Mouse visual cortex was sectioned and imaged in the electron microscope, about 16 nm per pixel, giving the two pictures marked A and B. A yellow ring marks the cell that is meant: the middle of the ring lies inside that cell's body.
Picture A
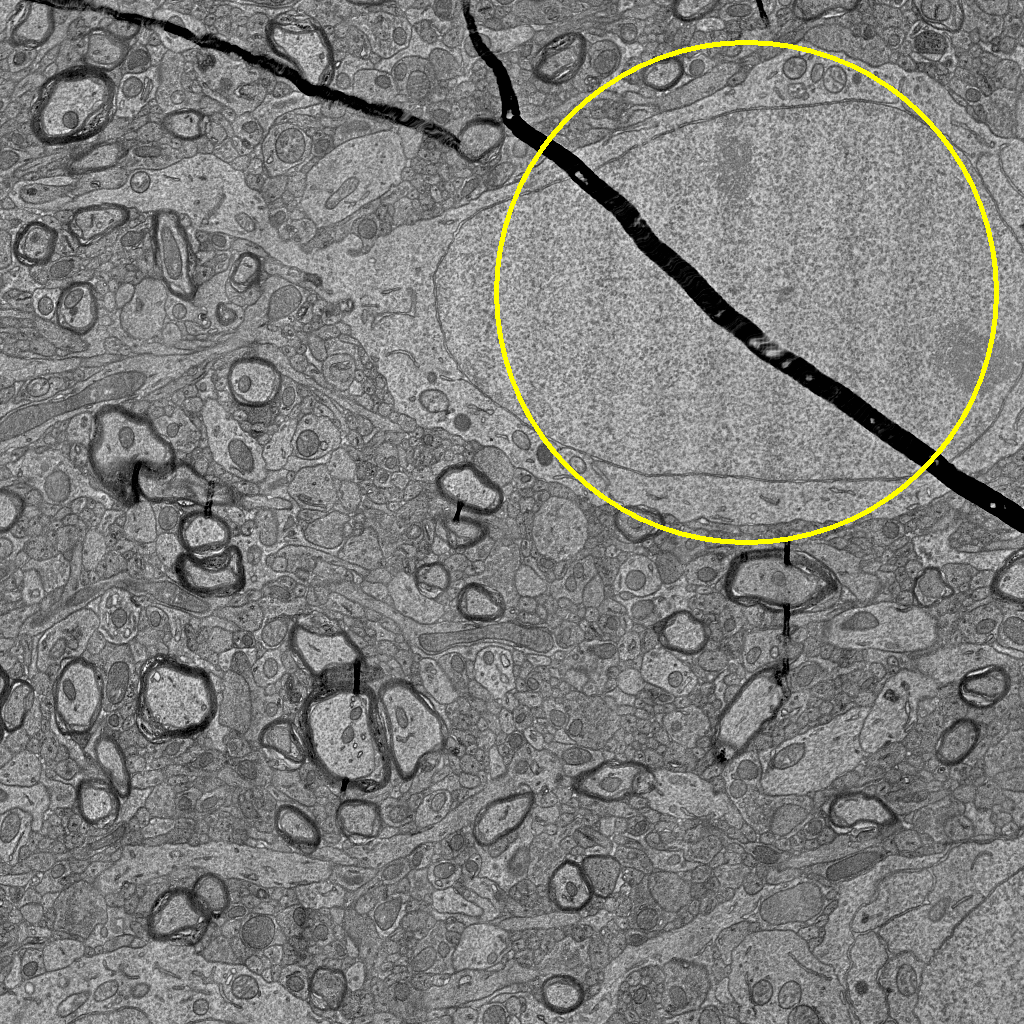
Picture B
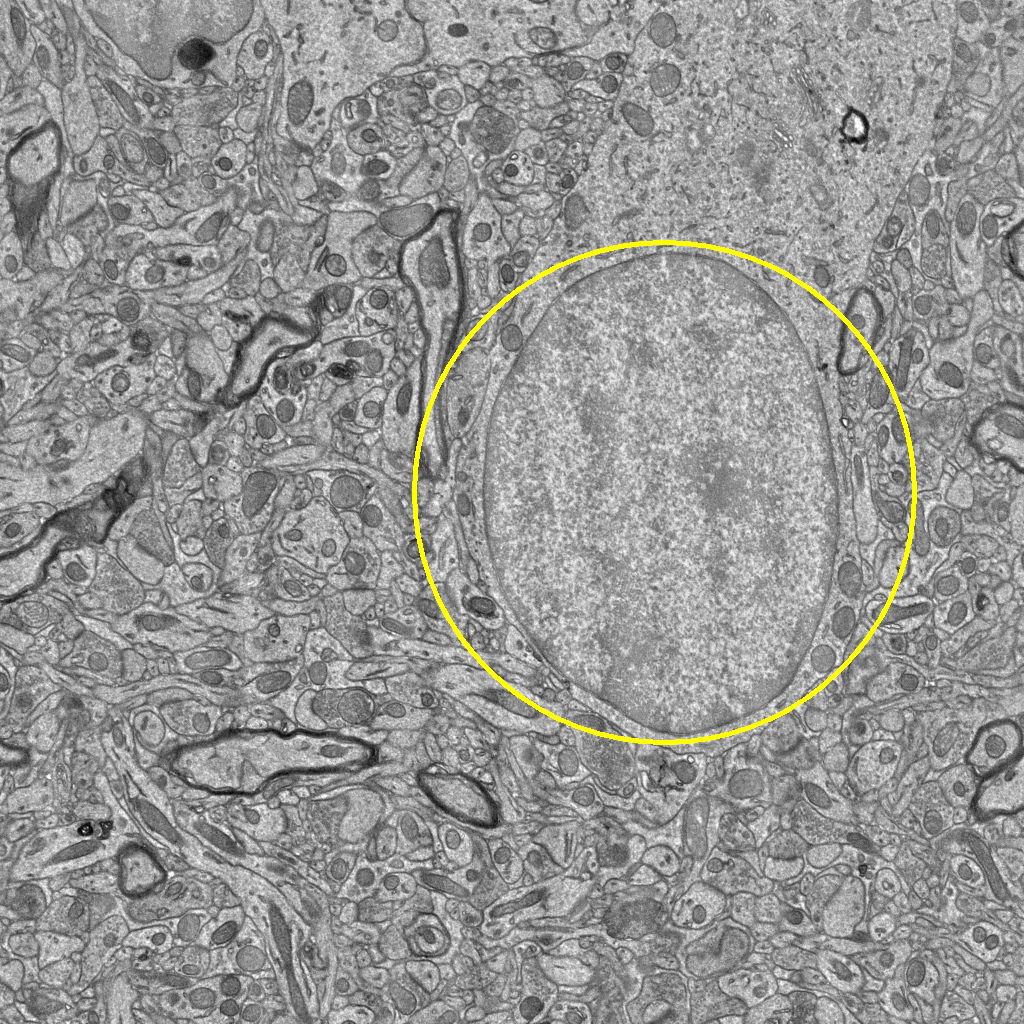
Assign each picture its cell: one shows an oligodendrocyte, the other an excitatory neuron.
The cell in picture A is an excitatory neuron, and the one in picture B is an oligodendrocyte.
